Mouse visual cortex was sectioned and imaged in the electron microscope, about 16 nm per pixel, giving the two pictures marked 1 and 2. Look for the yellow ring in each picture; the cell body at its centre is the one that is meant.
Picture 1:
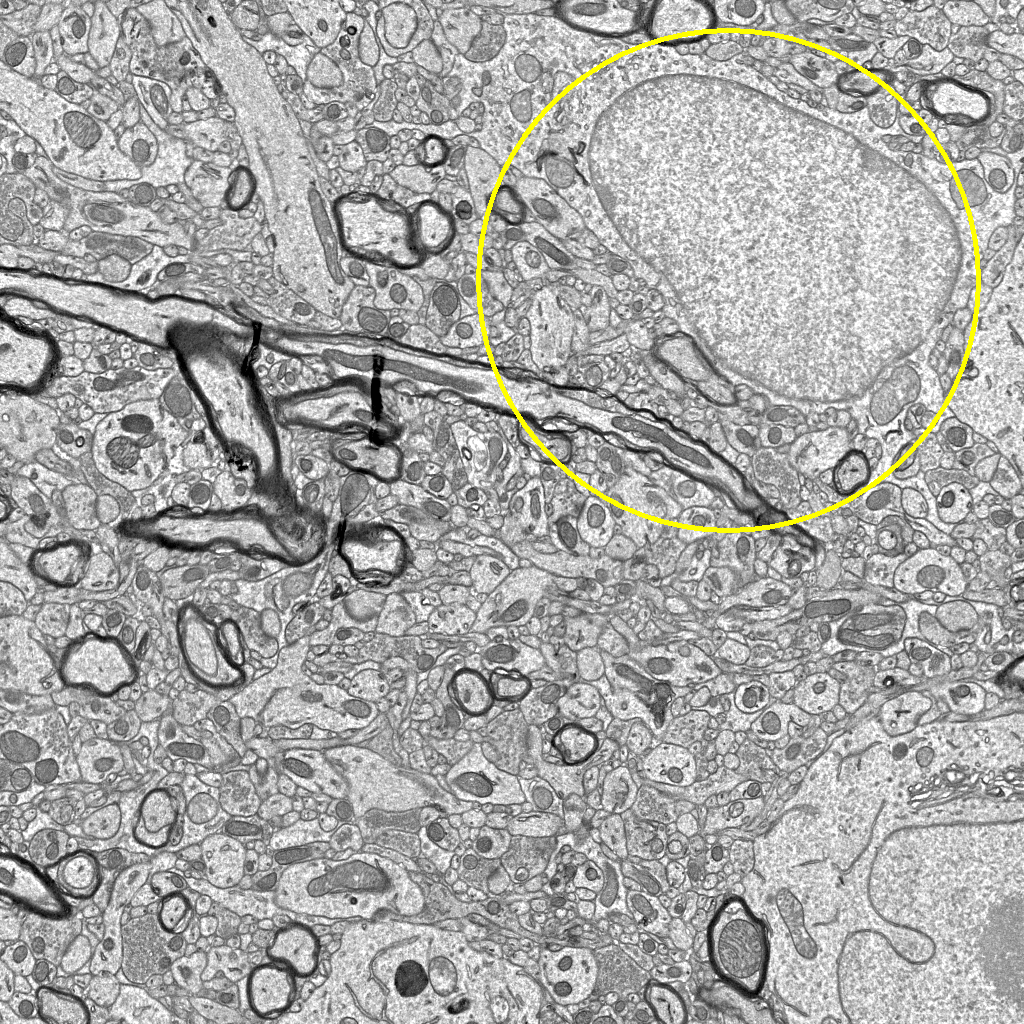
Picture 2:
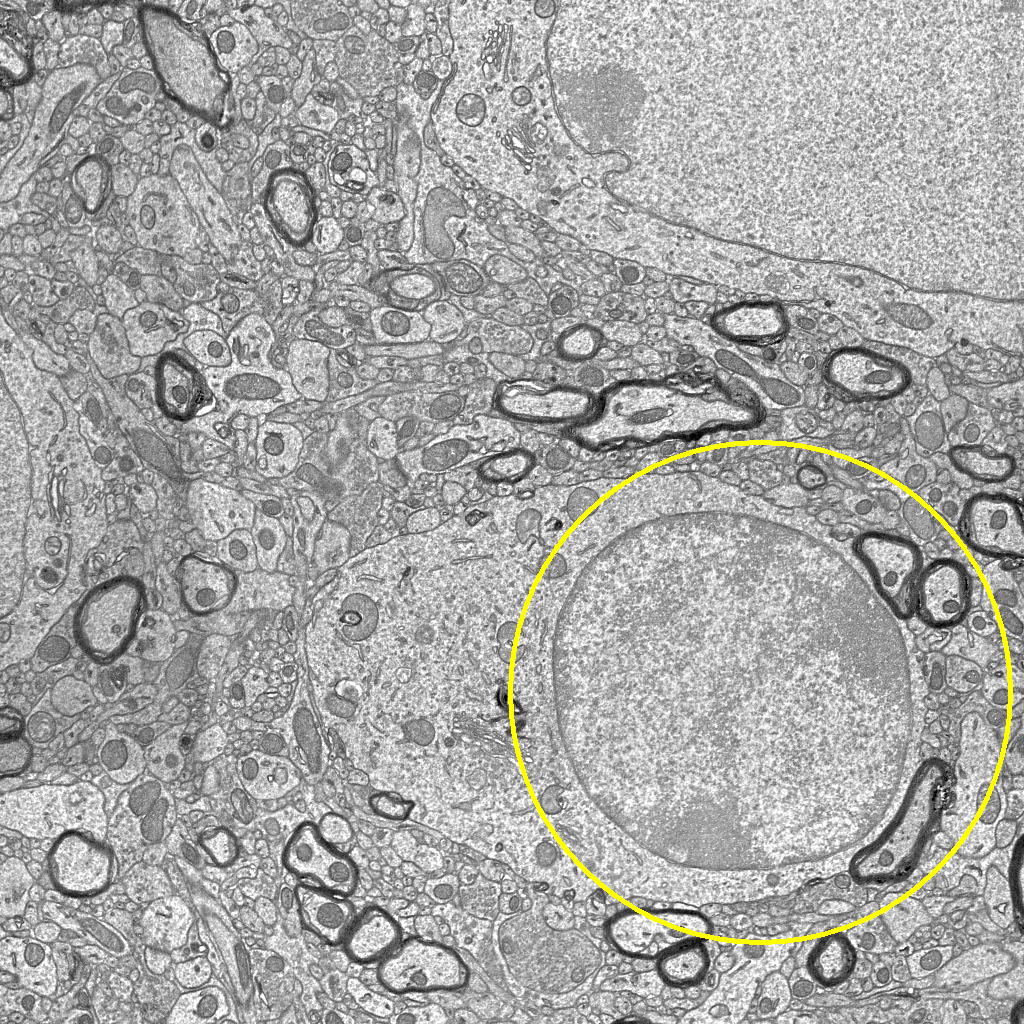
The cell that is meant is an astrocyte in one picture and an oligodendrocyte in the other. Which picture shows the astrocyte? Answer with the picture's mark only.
1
